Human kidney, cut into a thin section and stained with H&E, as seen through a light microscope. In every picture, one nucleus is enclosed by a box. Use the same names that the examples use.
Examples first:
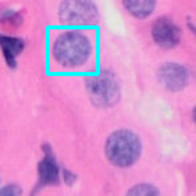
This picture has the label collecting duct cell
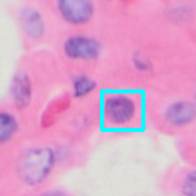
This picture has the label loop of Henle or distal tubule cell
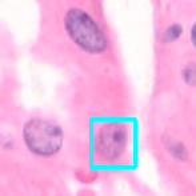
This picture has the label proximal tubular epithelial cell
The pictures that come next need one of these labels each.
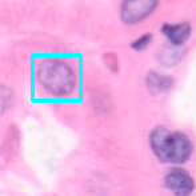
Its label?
proximal tubular epithelial cell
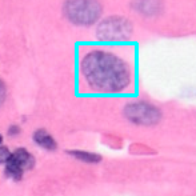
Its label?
loop of Henle or distal tubule cell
